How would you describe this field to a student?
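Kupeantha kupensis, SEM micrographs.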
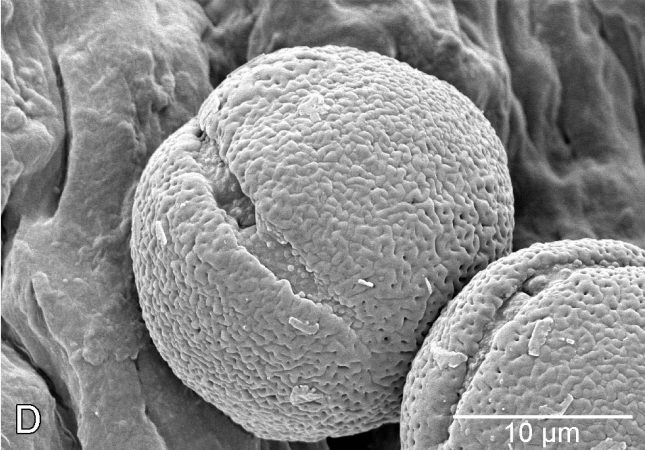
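Here a rounded pollen grain is seen with one of its furrows running across the surface, and part of a second grain appears at the lower right corner. Midway along the furrow an opening breaks through the wall. The rest of the wall carries the same fine, wavy and pitted sculpture, with a few small flakes of debris lying on top.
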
